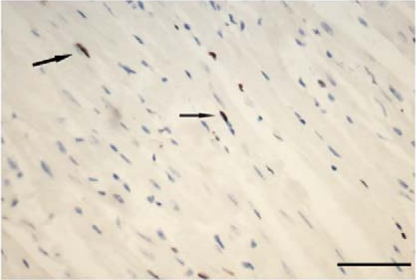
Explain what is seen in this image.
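The muscle fibres form a pale tan background running diagonally across the field, and their nuclei are elongated, blue ovals lying parallel to the fibres, scattered fairly evenly. Among the many blue nuclei, a few small ones are stained dark brown instead; two of these are marked by arrows. They are compact and dense, standing out sharply from the paler blue nuclei around them. Most of the field shows no brown at all, so the stained nuclei are rare.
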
